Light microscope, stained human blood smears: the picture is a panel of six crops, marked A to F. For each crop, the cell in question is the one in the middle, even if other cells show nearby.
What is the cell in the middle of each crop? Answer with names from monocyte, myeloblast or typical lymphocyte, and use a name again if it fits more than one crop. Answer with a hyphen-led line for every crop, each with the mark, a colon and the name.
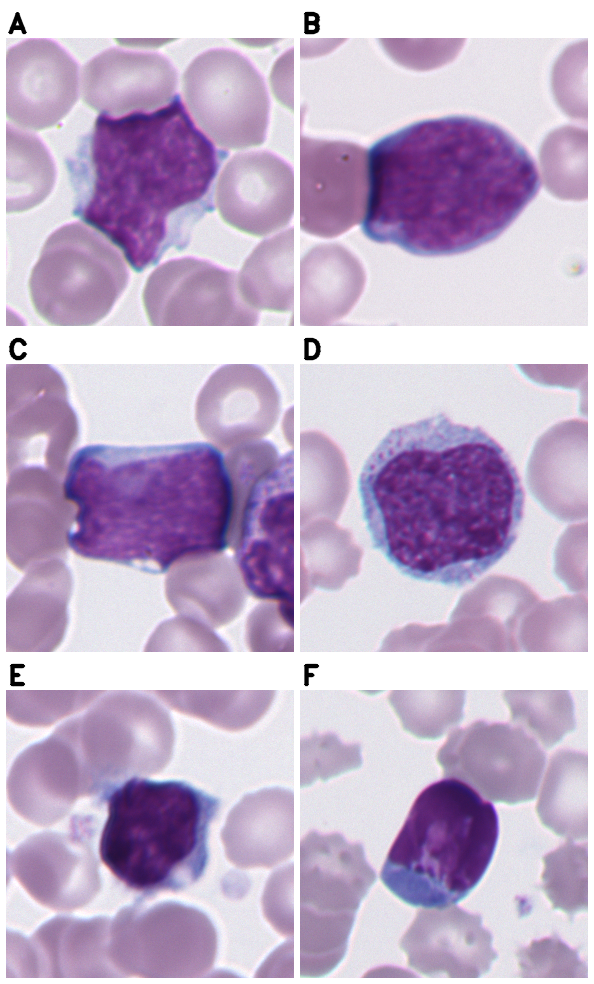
- A: typical lymphocyte
- B: myeloblast
- C: myeloblast
- D: monocyte
- E: typical lymphocyte
- F: typical lymphocyte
